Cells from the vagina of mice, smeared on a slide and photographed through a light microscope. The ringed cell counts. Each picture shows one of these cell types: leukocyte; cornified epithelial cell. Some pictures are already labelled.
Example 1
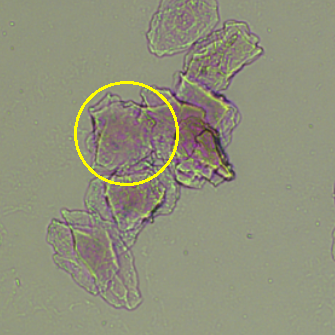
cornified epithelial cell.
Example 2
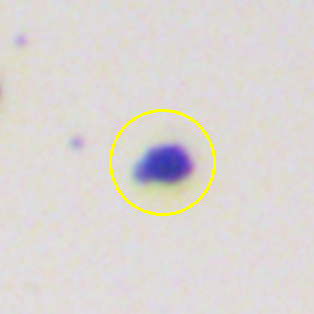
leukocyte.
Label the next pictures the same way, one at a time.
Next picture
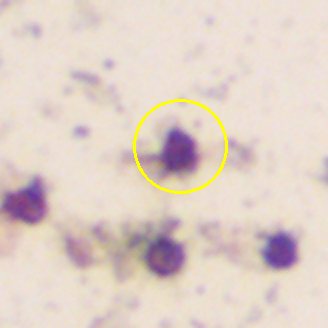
leukocyte.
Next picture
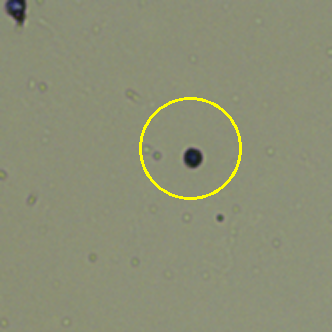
leukocyte.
